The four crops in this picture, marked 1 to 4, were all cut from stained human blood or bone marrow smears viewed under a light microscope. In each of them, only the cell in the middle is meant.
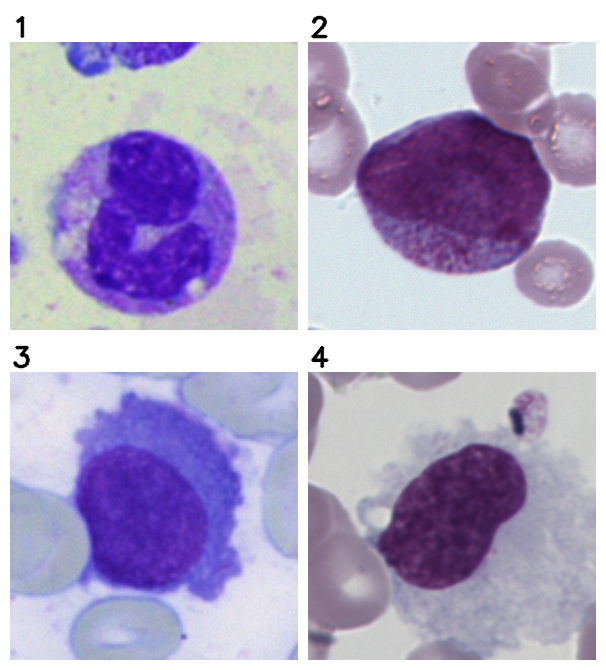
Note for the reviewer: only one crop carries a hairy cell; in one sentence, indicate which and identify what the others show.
To sum up, crop 4 shows a hairy cell, while crop 1 is a monocyte, crop 2 is a promyelocyte and crop 3 is a plasma cell.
